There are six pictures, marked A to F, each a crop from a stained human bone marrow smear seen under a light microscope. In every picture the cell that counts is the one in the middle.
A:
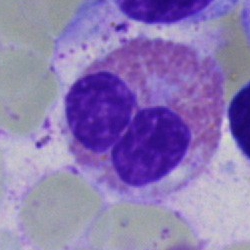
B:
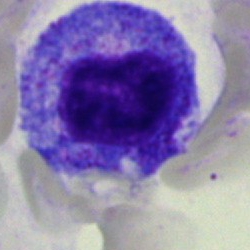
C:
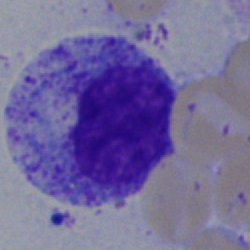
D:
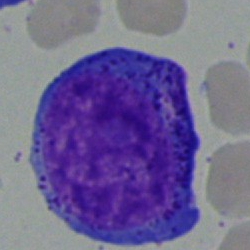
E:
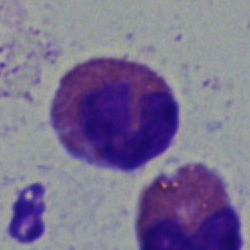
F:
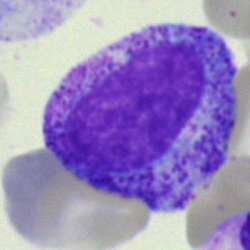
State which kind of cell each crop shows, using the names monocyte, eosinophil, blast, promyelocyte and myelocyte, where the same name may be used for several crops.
A: eosinophil
B: promyelocyte
C: myelocyte
D: promyelocyte
E: eosinophil
F: promyelocyte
